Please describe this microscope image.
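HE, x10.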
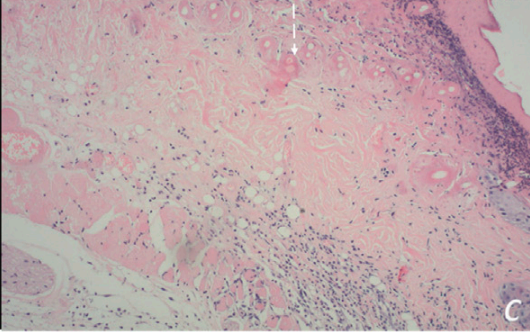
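Small round clear spaces of fat cells are scattered in the middle of the field, and a band of densely packed dark purple nuclei lies just beneath the surface. Near the top, a small vessel is filled with a homogeneous bright pink mass. Toward the lower left the tissue holds many scattered small dark nuclei of infiltrating cells among loose fibres.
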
